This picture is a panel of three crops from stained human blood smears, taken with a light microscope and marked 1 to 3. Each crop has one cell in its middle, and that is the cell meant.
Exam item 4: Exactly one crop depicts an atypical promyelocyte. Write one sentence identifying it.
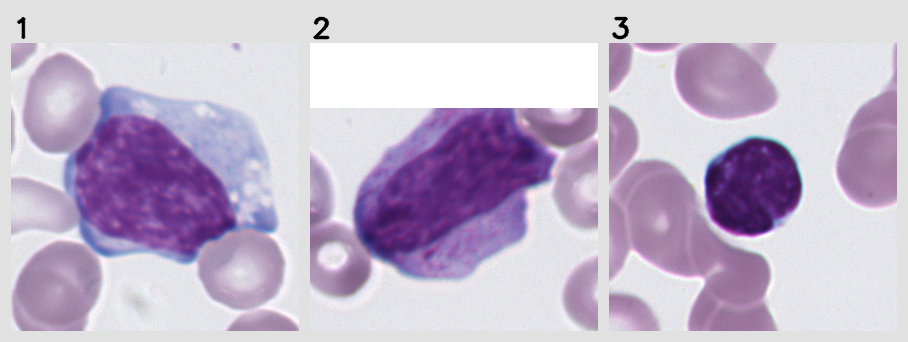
Crop 2 is identified as the crop showing an atypical promyelocyte.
